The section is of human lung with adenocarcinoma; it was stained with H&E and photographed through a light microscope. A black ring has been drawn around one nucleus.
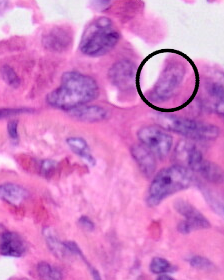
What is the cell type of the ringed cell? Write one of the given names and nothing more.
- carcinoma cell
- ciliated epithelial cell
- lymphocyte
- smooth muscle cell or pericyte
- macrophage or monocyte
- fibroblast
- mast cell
carcinoma cell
